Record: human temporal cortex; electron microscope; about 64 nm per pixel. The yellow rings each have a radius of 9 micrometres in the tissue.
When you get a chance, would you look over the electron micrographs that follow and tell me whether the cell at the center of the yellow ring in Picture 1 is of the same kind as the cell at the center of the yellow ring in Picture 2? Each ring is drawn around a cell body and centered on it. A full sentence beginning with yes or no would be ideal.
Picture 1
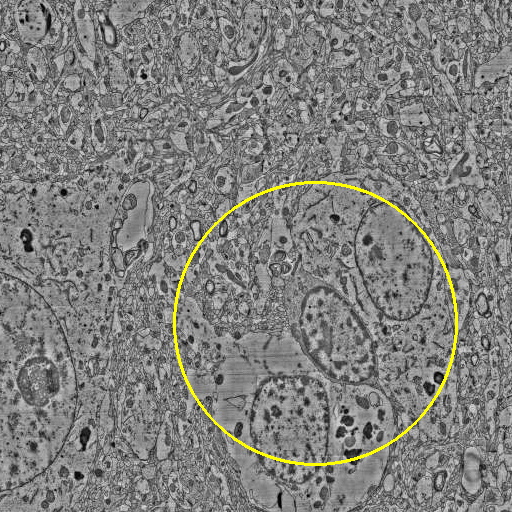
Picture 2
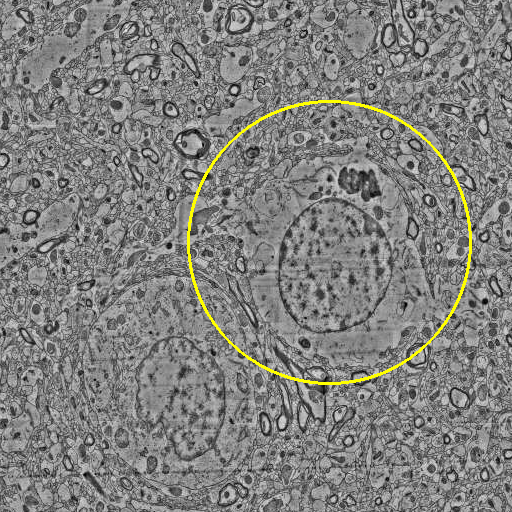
No, they are two kinds of cell.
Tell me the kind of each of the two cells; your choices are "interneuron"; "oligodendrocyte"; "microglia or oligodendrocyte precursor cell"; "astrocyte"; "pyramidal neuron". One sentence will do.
The ringed cell is an oligodendrocyte in the first picture and an astrocyte in the second picture.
